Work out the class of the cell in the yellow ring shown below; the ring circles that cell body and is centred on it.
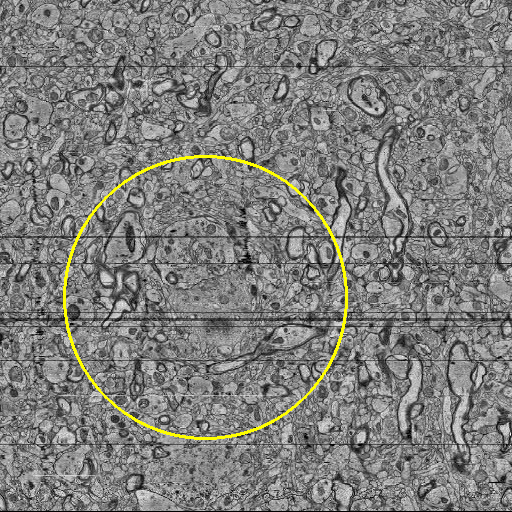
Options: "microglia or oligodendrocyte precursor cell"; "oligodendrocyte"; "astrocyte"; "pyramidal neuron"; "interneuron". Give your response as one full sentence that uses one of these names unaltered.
The body ringed in yellow, right at the ring's centre, is that of an oligodendrocyte.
